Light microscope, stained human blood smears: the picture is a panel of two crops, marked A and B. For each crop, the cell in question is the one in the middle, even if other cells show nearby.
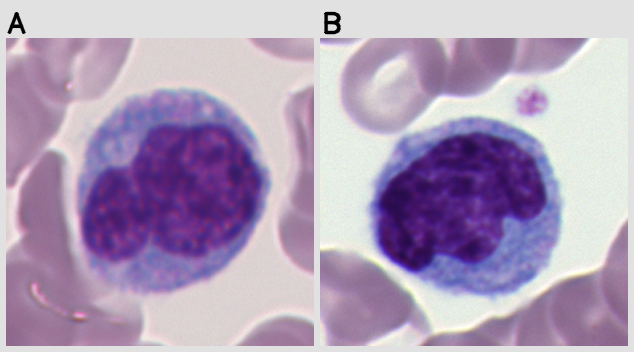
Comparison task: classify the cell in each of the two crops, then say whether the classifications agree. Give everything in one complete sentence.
Yes, the cells at the middle of both crops are monocytes.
